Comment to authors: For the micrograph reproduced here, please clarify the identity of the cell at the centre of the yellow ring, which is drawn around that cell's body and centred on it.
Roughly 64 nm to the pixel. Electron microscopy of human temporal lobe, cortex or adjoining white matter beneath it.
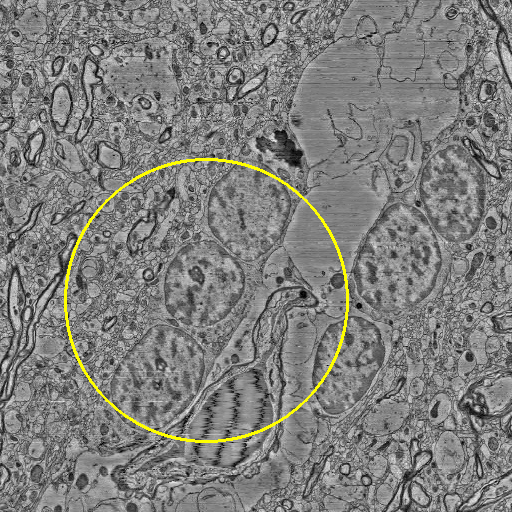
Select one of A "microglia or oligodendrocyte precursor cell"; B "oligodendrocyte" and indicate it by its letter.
B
